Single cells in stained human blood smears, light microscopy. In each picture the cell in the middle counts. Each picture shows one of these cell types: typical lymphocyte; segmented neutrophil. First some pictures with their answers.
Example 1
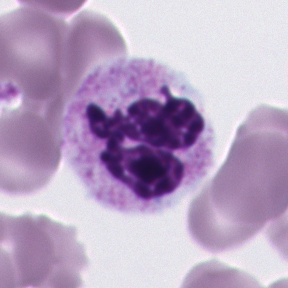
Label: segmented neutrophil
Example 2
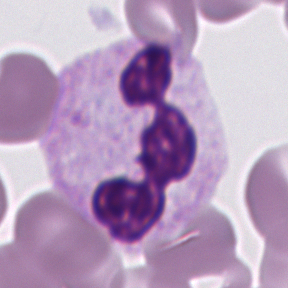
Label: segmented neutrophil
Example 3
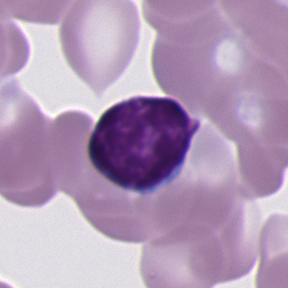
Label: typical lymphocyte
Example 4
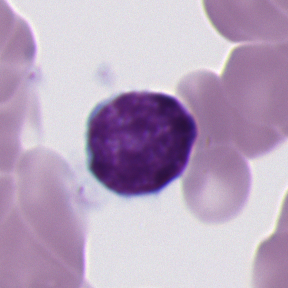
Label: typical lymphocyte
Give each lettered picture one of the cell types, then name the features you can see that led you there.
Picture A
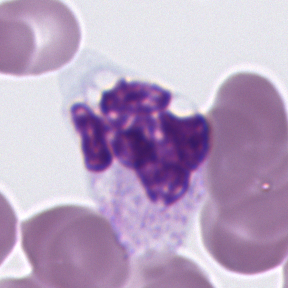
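Answer: segmented neutrophil. The nucleus is divided into several lobes crowded together.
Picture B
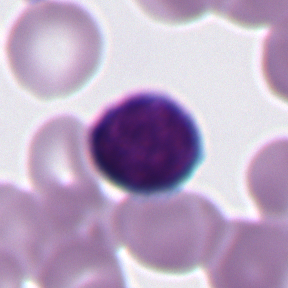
Answer: typical lymphocyte. The cytoplasm is at most a very thin rim around the nucleus.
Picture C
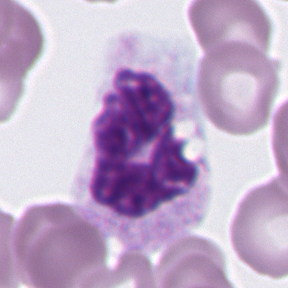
Answer: segmented neutrophil. The nucleus is irregular and folded, with overlapping lobes.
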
